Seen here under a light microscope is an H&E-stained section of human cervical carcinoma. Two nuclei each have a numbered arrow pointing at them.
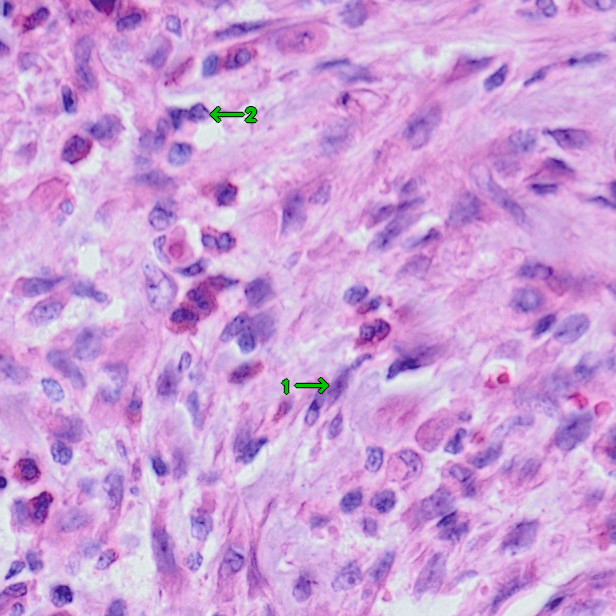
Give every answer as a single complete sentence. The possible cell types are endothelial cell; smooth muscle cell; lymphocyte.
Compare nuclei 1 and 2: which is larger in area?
Number 1 is larger; its area is about 1.5 times that of number 2.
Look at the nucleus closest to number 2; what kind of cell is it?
Closest to number 2 lies the nucleus of a lymphocyte.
